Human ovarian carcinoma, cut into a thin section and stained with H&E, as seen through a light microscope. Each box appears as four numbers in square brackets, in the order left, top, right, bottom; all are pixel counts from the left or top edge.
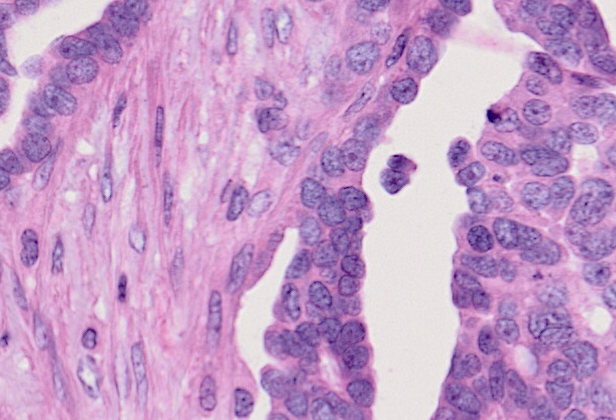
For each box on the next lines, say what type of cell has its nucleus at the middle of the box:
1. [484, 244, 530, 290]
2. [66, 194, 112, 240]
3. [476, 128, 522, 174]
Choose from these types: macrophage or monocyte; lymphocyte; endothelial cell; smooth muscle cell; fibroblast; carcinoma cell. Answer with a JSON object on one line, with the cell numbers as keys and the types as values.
{"1": "carcinoma cell", "2": "fibroblast", "3": "carcinoma cell"}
